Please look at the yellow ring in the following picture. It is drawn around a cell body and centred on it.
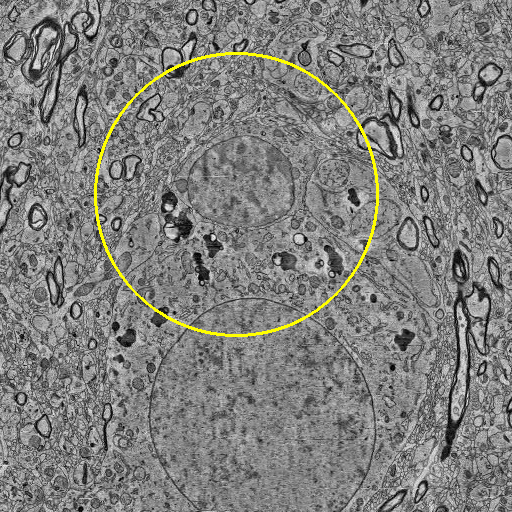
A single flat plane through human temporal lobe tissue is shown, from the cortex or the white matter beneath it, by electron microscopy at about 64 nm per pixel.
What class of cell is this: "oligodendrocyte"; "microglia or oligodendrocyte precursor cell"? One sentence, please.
The ring surrounds the cell body of an oligodendrocyte.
